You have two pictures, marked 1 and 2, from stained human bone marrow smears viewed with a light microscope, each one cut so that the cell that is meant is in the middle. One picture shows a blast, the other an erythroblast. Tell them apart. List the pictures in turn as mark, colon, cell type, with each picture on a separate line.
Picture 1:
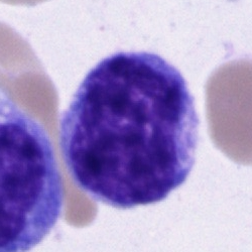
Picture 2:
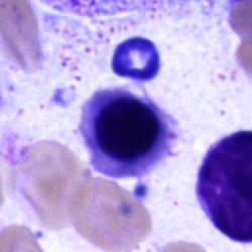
1: blast
2: erythroblast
